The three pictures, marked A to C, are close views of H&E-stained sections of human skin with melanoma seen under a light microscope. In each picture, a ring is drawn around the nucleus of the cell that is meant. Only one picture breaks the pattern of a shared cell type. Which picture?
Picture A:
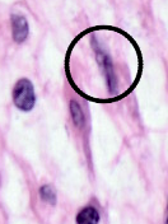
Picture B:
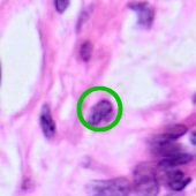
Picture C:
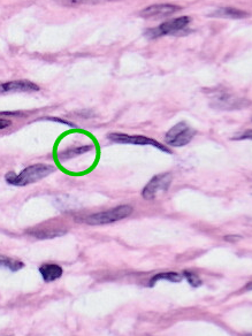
B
